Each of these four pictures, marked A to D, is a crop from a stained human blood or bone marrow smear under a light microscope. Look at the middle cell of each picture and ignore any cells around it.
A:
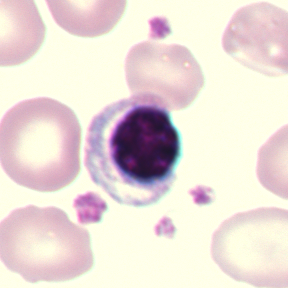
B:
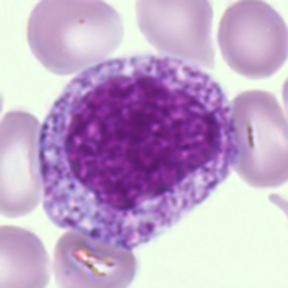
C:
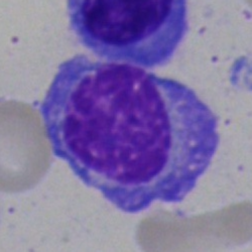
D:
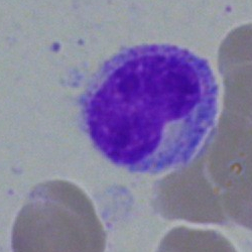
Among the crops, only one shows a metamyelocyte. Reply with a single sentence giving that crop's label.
It is crop D, not any other, that shows a metamyelocyte.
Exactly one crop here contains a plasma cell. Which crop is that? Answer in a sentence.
The crop with a plasma cell in it is crop C.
